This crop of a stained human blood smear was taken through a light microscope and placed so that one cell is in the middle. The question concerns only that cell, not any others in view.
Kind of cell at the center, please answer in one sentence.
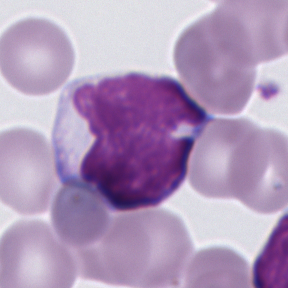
The cell centered in this field of view is a large granular lymphocyte.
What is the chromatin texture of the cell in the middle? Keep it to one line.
Its chromatin is finely dispersed rather than coarsely clumped.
